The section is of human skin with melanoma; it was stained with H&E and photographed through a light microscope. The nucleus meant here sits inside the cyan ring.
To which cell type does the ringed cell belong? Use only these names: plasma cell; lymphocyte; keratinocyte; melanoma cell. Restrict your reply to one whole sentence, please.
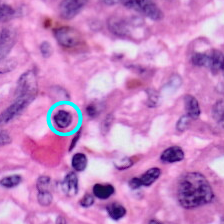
Labelled by cell type, the ringed cell is a lymphocyte.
